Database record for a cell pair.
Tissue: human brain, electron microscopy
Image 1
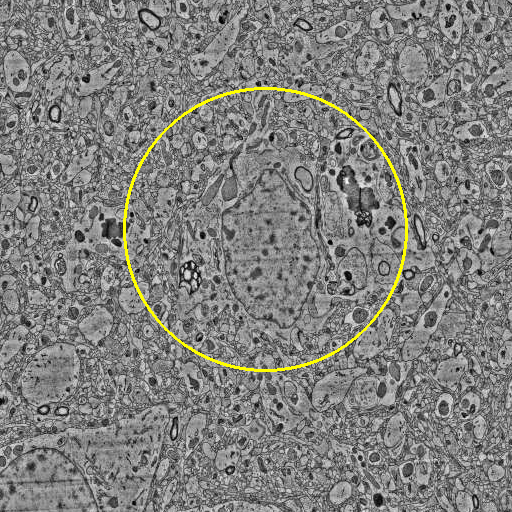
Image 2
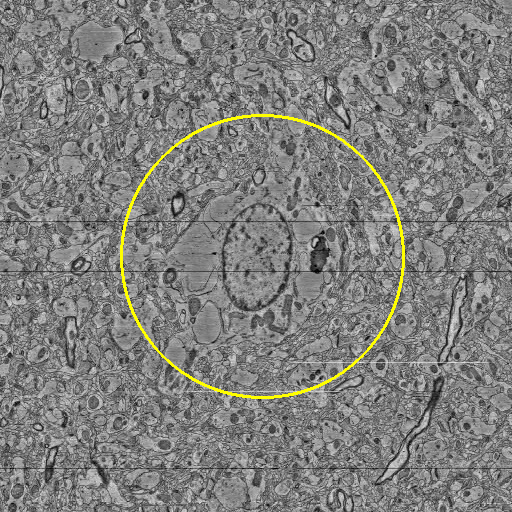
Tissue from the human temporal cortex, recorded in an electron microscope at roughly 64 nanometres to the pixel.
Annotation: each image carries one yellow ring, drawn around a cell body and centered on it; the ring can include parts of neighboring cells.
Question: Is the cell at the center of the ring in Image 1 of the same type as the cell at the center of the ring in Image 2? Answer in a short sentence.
Yes, the cells are of the same type.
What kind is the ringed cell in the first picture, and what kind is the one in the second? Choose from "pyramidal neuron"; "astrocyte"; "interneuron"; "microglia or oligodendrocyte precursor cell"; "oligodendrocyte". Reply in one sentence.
The ring centre holds an astrocyte in each of the two pictures.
